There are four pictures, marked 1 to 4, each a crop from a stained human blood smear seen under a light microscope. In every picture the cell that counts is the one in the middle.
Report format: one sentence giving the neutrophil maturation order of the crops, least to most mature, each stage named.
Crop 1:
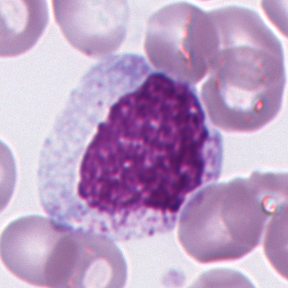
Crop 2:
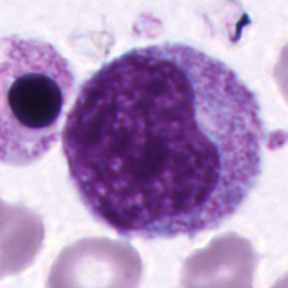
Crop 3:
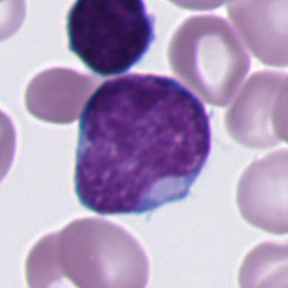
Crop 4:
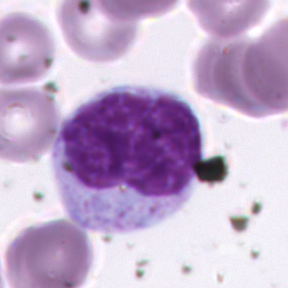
The sequence of maturity, beginning with the least mature, runs crop 3 (a blast), crop 2 (a promyelocyte), crop 1 (a myelocyte) and crop 4 (a metamyelocyte).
